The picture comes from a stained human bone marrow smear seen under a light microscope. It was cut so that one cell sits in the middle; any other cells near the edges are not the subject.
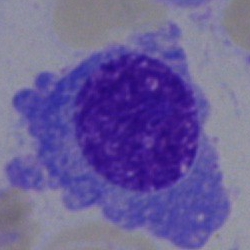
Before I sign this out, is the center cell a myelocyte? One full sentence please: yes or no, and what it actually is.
No, what is seen at the centre is a plasma cell instead of a myelocyte.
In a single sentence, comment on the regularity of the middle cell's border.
A ragged or projecting edge replaces the smooth outline in this cell.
